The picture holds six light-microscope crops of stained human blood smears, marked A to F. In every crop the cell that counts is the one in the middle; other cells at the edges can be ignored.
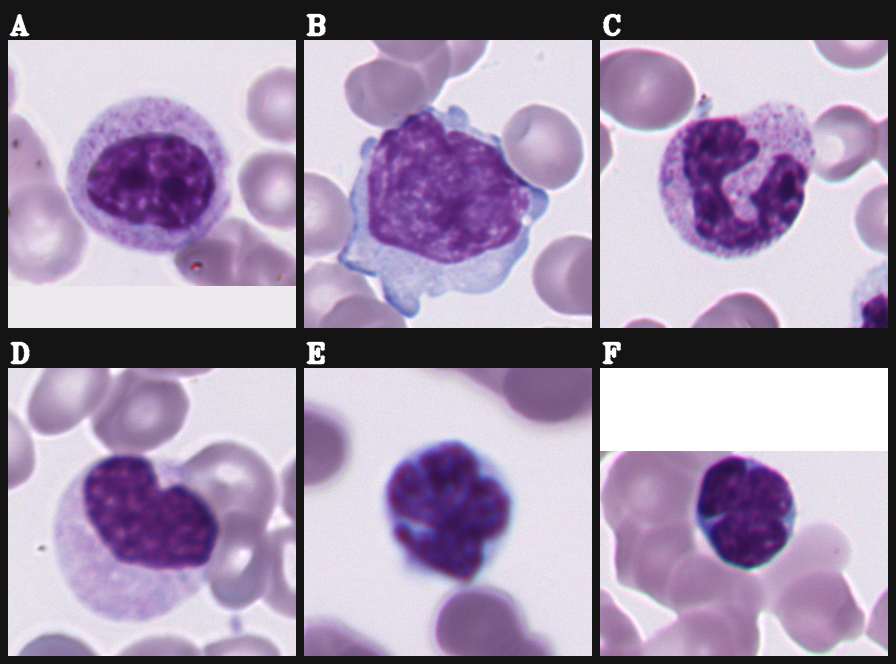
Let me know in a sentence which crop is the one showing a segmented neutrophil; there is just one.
The crop with a segmented neutrophil at its center is crop C.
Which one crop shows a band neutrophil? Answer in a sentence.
Crop D is the one depicting a band neutrophil.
